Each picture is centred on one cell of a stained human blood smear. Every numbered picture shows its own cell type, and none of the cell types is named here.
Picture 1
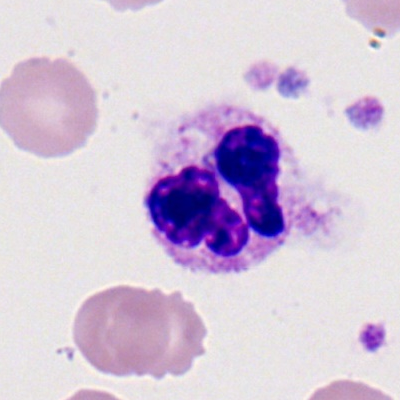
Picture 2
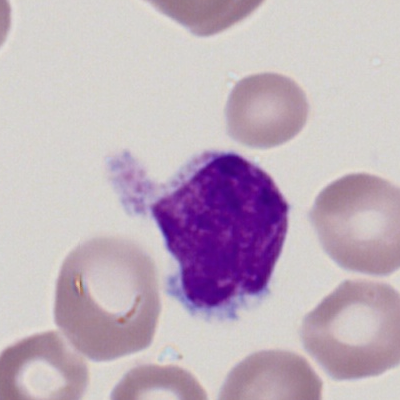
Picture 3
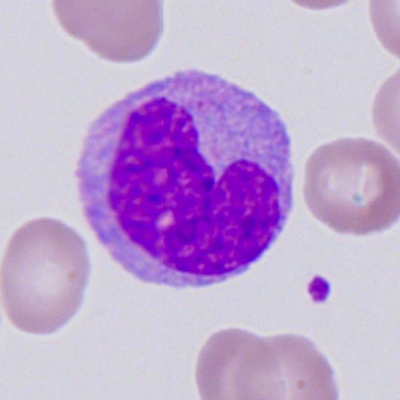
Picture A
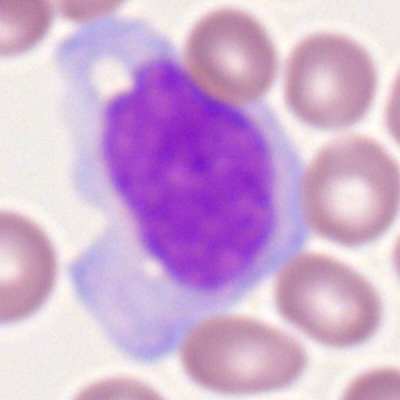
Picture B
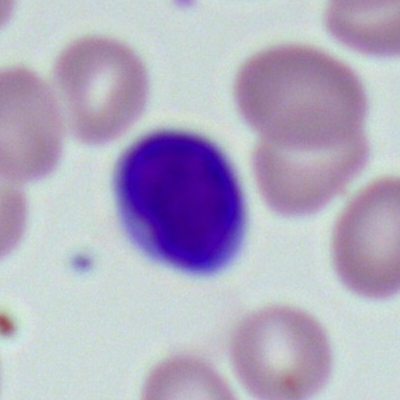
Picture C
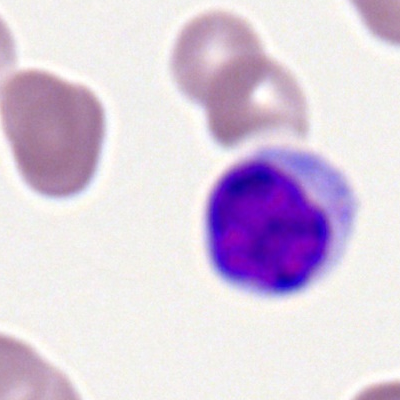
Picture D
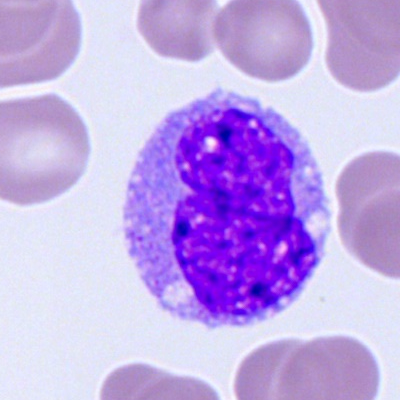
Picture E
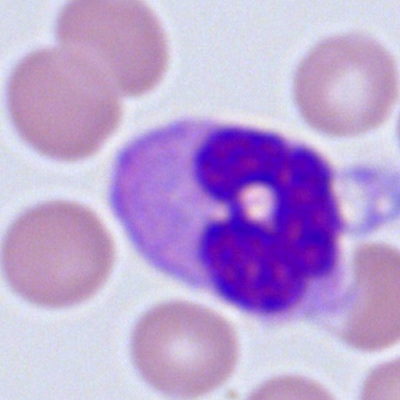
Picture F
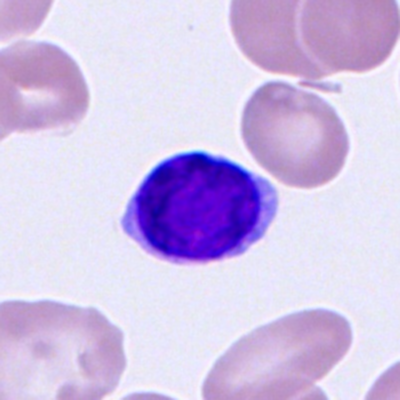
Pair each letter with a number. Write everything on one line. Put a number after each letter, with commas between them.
A 3, B 2, C 2, D 3, E 3, F 2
